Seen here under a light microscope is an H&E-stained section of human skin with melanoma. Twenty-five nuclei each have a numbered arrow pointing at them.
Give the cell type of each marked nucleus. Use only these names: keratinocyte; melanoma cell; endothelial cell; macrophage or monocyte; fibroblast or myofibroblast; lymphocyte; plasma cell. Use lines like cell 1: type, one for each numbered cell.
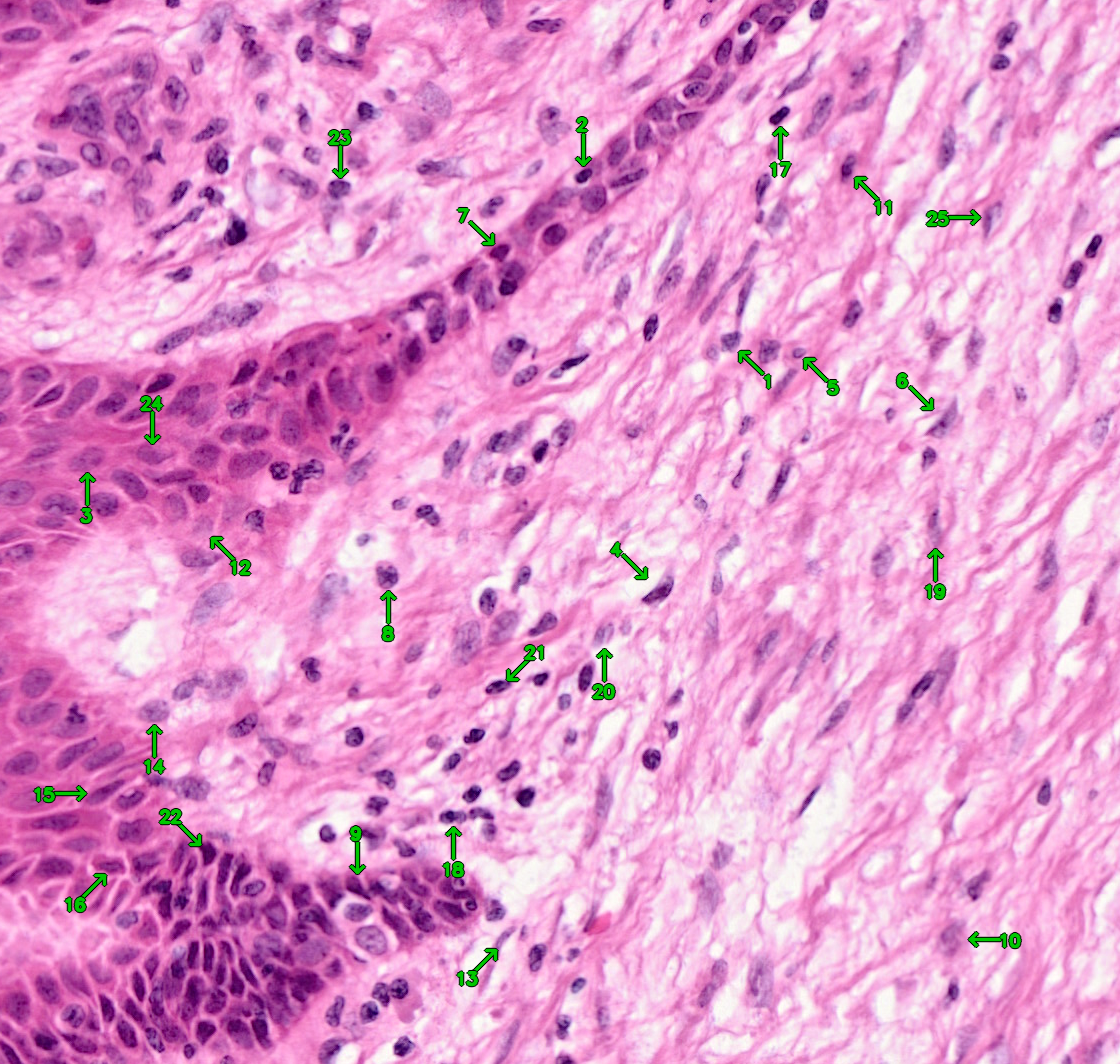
cell 1: lymphocyte
cell 2: lymphocyte
cell 3: keratinocyte
cell 4: fibroblast or myofibroblast
cell 5: macrophage or monocyte
cell 6: fibroblast or myofibroblast
cell 7: keratinocyte
cell 8: lymphocyte
cell 9: keratinocyte
cell 10: fibroblast or myofibroblast
cell 11: macrophage or monocyte
cell 12: keratinocyte
cell 13: fibroblast or myofibroblast
cell 14: fibroblast or myofibroblast
cell 15: keratinocyte
cell 16: keratinocyte
cell 17: lymphocyte
cell 18: lymphocyte
cell 19: fibroblast or myofibroblast
cell 20: macrophage or monocyte
cell 21: lymphocyte
cell 22: keratinocyte
cell 23: lymphocyte
cell 24: keratinocyte
cell 25: fibroblast or myofibroblast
